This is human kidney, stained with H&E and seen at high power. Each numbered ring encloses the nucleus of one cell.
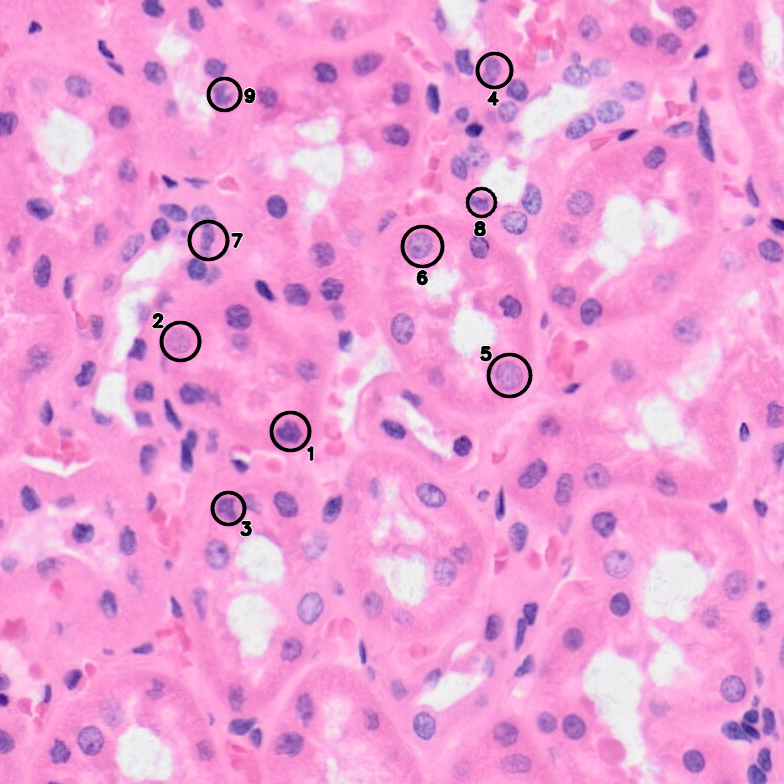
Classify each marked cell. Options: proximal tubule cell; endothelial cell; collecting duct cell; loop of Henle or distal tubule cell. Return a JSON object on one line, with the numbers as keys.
{"1": "proximal tubule cell", "2": "proximal tubule cell", "3": "proximal tubule cell", "4": "collecting duct cell", "5": "proximal tubule cell", "6": "proximal tubule cell", "7": "collecting duct cell", "8": "collecting duct cell", "9": "loop of Henle or distal tubule cell"}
